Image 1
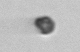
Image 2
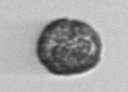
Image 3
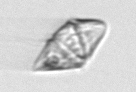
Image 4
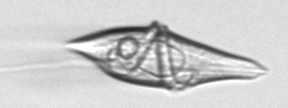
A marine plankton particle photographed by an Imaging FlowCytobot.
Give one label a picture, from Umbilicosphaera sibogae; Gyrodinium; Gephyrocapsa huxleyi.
1: Gephyrocapsa huxleyi
2: Umbilicosphaera sibogae
3: Gyrodinium
4: Gyrodinium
